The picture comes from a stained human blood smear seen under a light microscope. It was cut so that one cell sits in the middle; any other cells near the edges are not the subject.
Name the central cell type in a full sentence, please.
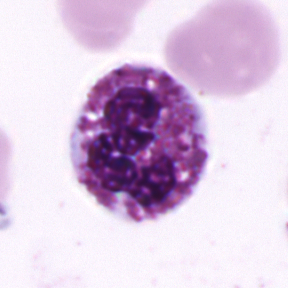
The cell under consideration, at the middle of the crop, is an eosinophil.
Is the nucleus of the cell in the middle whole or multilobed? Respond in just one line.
We find a nucleus divided into at least two lobes.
